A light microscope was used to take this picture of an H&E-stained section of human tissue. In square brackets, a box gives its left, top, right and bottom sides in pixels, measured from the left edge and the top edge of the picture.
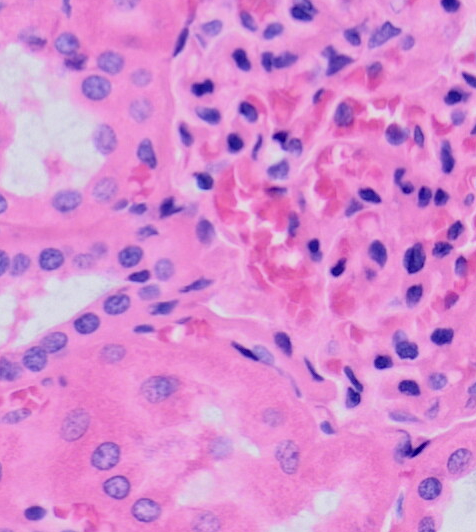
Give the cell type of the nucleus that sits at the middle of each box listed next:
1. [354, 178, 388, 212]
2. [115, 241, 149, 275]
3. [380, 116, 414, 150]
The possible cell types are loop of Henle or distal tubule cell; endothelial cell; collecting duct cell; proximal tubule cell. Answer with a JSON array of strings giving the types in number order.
["endothelial cell", "collecting duct cell", "endothelial cell"]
